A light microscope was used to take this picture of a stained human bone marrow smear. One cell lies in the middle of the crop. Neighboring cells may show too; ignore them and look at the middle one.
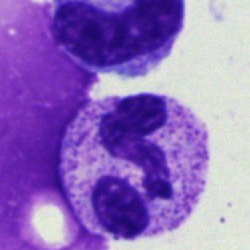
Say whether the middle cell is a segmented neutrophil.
yes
